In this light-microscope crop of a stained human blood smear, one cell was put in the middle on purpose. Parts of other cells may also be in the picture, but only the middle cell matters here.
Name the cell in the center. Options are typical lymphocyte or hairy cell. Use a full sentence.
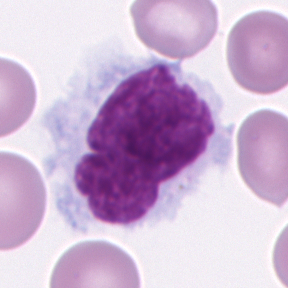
The cell positioned in the middle of the field is a hairy cell.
